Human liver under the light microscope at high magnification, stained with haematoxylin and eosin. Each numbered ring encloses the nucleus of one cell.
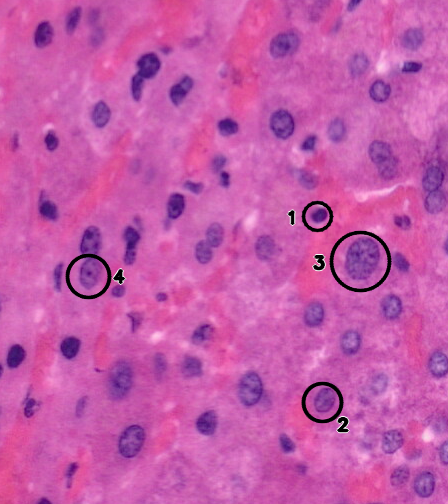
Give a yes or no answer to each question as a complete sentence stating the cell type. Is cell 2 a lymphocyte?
No, number 2 is assigned to a hepatocyte, not to a lymphocyte.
